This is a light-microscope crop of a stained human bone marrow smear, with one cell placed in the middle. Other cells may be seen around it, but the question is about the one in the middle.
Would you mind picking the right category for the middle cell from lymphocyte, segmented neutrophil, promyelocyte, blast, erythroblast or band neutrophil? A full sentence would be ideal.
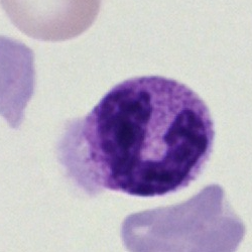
The cell nearest the centre of this crop is a segmented neutrophil.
